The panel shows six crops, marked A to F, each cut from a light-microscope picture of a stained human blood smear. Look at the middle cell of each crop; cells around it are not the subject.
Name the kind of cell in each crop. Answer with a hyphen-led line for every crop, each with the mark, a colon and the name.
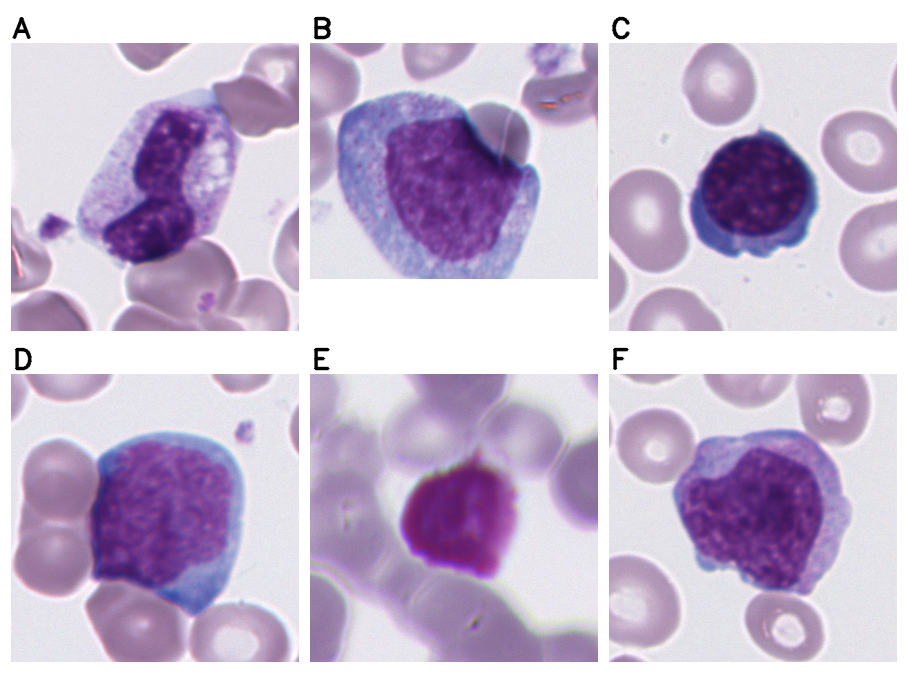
- A: band neutrophil
- B: promyelocyte
- C: normoblast
- D: myeloblast
- E: smudge cell
- F: atypical promyelocyte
